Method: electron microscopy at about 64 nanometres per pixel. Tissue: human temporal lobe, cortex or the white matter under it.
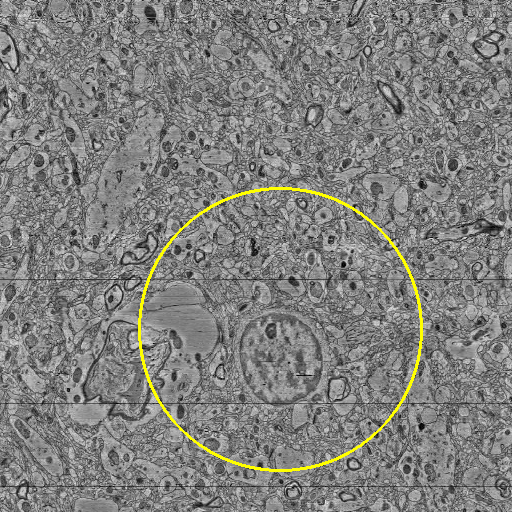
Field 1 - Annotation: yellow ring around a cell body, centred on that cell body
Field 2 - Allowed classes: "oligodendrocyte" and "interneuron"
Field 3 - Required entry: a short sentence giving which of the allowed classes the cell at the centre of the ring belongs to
The centred cell is an oligodendrocyte.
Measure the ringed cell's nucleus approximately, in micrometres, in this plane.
Approximately 6 by 5 micrometers in this plane.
